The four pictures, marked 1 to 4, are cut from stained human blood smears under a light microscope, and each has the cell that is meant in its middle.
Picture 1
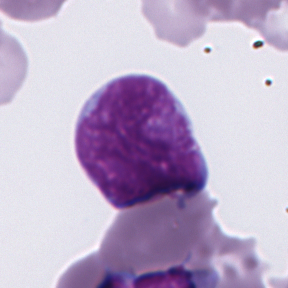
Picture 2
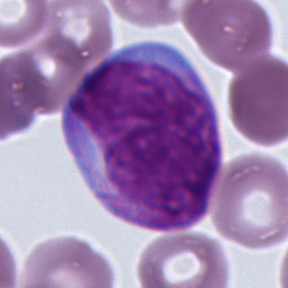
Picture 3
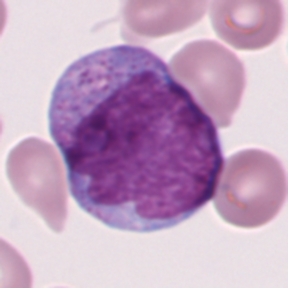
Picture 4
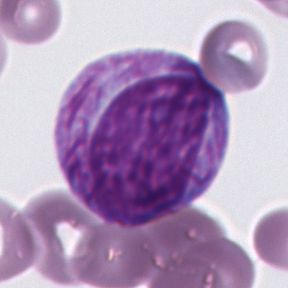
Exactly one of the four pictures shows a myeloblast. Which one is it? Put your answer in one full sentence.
It is picture 1 that shows the myeloblast.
